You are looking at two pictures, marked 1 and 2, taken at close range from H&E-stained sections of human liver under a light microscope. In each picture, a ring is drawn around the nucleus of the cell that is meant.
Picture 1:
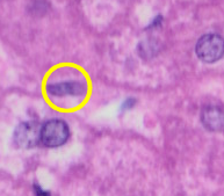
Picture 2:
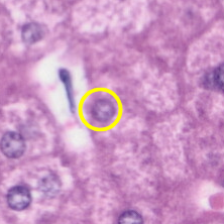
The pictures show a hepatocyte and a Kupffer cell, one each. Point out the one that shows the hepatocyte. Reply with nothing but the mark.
2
